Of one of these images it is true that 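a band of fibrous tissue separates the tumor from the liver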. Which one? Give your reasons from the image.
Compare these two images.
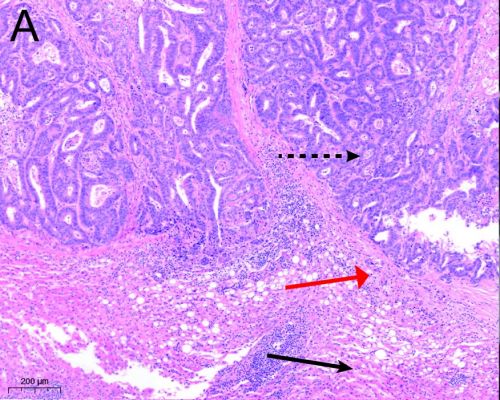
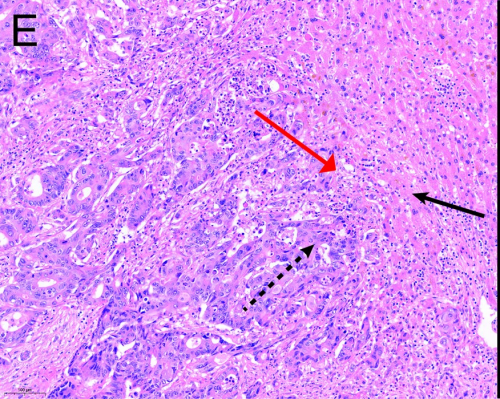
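Second image: tumor cords run directly in among liver cells with no band between them. First image: a broad pale stromal band lies between the glands and the liver. The answer: the first image.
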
